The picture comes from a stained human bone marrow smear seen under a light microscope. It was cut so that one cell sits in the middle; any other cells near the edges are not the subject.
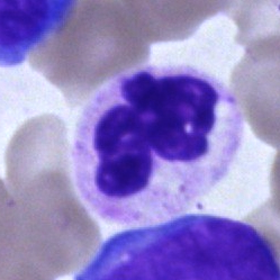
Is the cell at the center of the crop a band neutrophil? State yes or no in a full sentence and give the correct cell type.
No, rather than a band neutrophil, the central cell is a segmented neutrophil.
